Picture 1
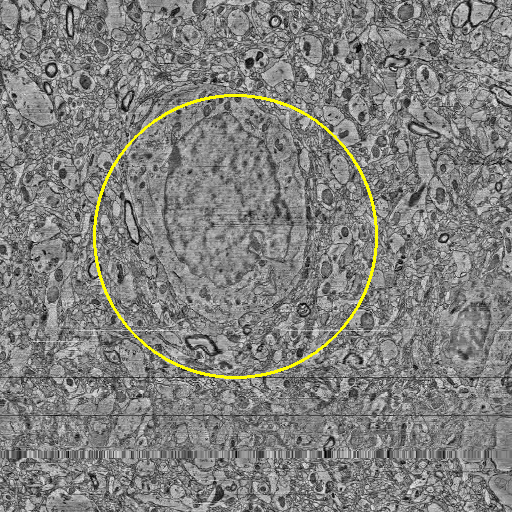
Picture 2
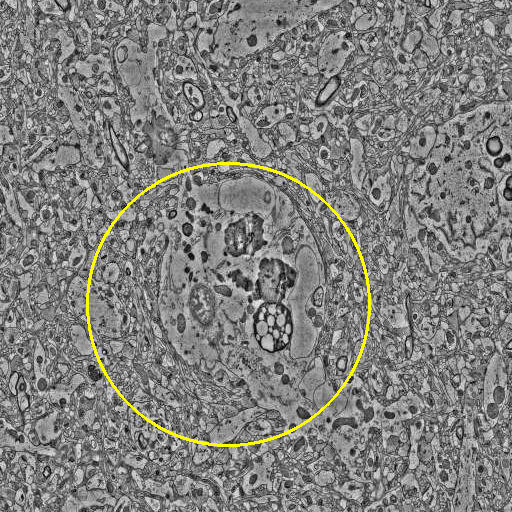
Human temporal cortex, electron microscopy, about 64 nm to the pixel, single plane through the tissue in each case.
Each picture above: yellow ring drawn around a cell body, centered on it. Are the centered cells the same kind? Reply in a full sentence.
No, the two cells are two kinds of cell.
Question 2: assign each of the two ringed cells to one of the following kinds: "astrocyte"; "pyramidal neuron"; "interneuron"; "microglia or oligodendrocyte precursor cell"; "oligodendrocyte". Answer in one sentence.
The two cells are an interneuron in the first picture and an astrocyte in the second.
